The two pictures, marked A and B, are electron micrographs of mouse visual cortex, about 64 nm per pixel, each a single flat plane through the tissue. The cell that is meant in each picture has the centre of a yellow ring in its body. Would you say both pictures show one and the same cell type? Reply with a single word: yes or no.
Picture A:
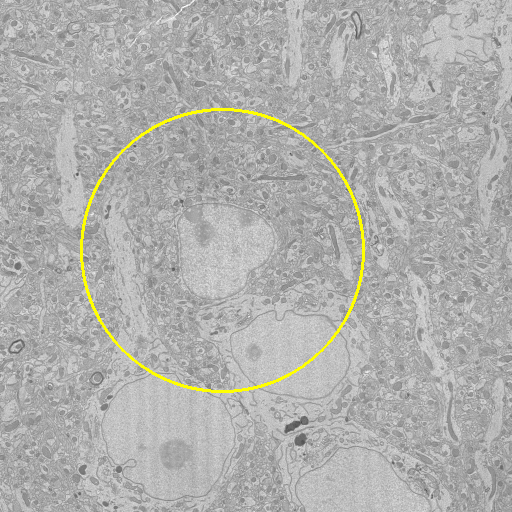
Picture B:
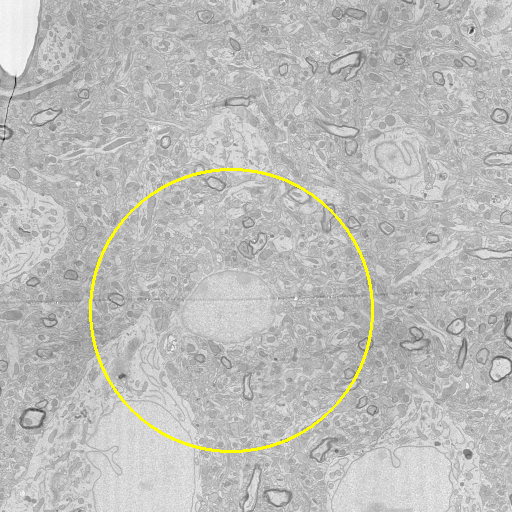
yes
